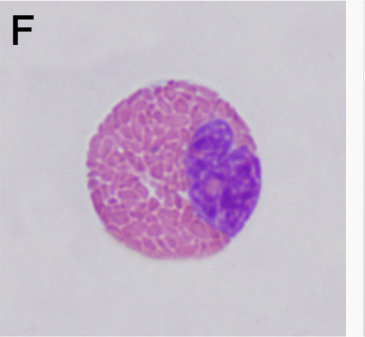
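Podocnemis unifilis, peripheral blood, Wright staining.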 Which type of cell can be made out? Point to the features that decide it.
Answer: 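Round cell packed with rounded pink-orange granules. Eccentric purple nucleus.
Hence: Eosinophil.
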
